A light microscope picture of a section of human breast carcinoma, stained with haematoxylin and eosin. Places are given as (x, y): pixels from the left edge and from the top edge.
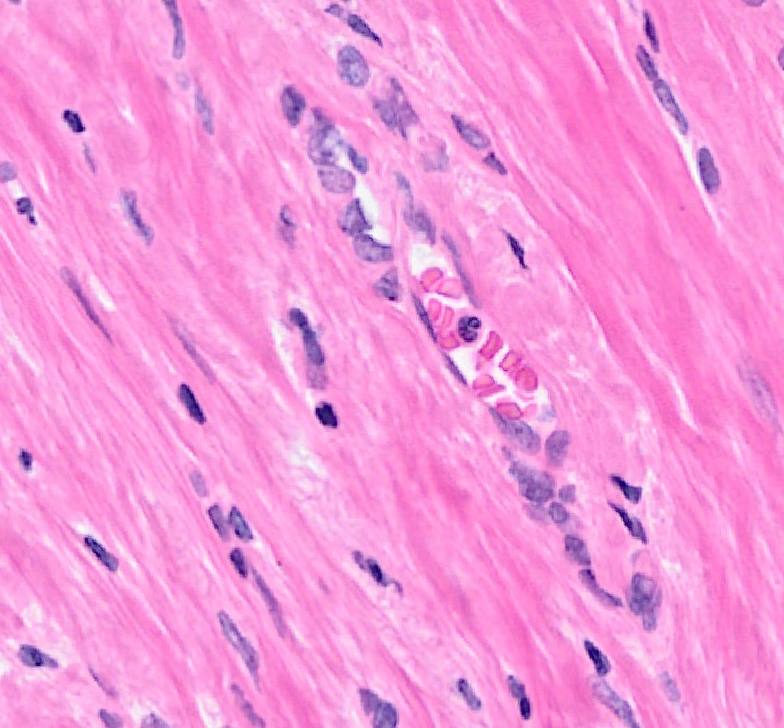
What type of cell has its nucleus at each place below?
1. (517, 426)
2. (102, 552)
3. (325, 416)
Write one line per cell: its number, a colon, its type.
1: endothelial cell
2: lymphocyte
3: lymphocyte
